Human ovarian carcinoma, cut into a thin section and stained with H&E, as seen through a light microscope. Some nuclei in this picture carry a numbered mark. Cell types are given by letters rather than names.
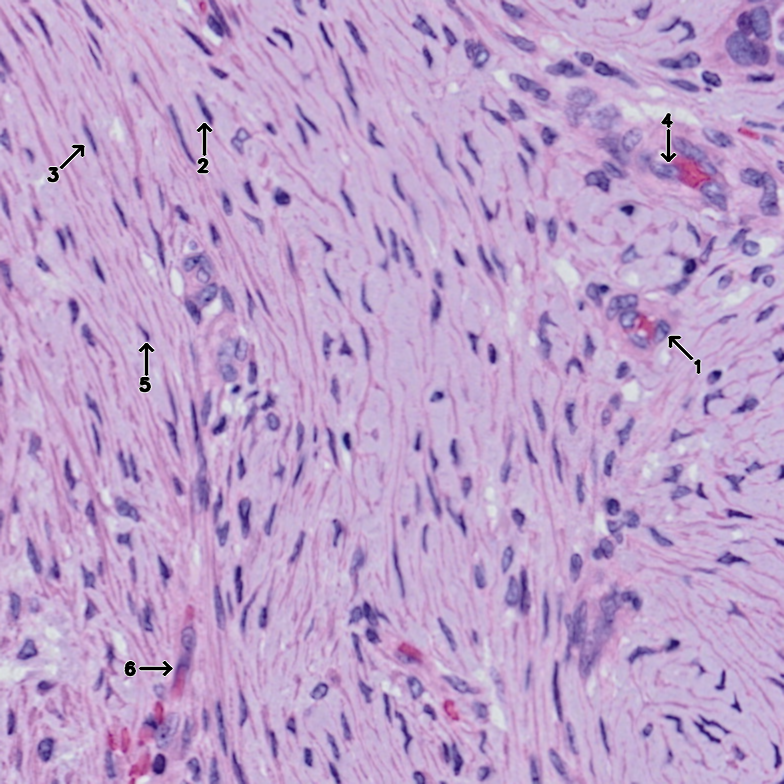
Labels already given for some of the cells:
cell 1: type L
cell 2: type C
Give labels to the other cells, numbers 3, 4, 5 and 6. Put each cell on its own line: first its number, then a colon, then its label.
3: type C
4: type L
5: type C
6: type C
